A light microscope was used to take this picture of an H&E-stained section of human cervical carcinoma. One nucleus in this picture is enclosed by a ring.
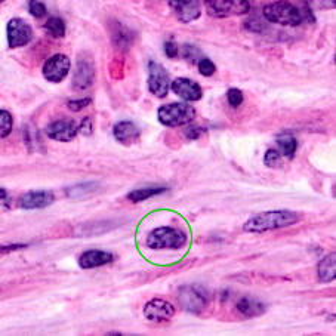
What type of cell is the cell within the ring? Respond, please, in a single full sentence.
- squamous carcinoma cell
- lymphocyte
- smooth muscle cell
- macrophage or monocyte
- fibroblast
By cell type, the cell within the ring is a lymphocyte.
